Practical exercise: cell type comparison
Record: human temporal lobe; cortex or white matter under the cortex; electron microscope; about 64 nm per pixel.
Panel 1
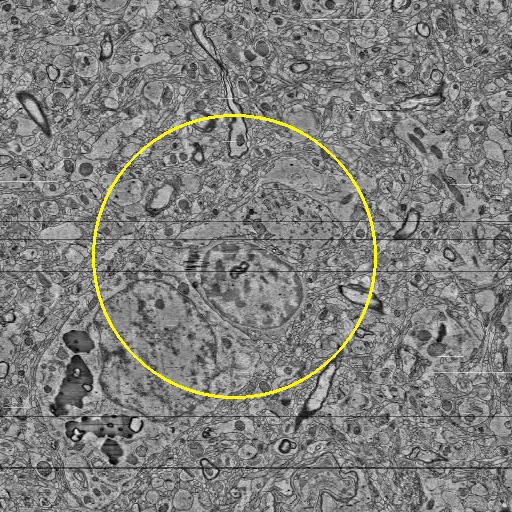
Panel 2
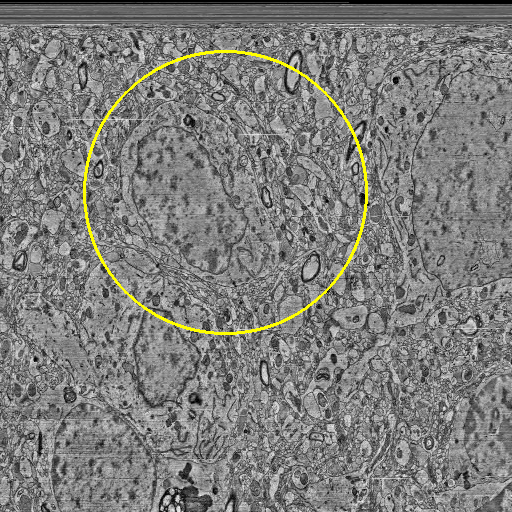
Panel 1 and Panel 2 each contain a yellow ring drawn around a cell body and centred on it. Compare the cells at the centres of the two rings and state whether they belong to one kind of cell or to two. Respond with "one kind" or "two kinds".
two kinds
